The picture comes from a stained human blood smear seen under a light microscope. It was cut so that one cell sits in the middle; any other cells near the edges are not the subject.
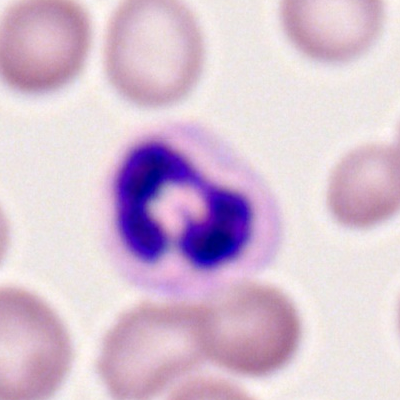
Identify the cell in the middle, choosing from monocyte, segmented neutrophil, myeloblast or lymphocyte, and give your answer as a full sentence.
Here the centrally located cell is a segmented neutrophil.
